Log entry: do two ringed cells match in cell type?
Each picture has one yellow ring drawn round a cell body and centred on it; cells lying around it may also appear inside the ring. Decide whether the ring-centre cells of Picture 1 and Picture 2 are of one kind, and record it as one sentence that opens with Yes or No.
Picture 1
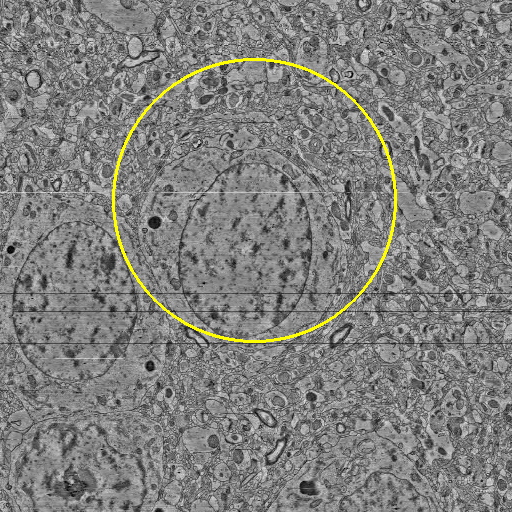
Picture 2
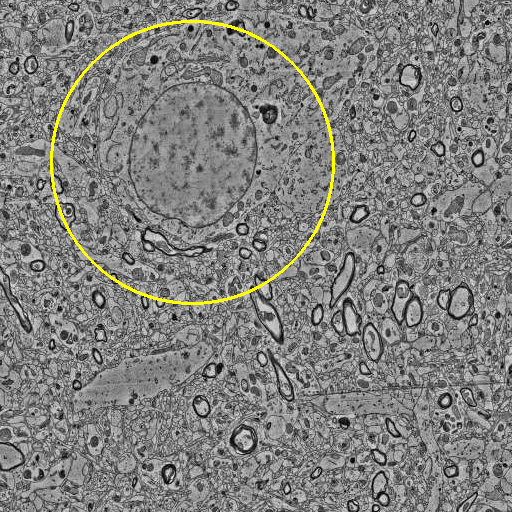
Yes, the cells at the ring centres of the two pictures belong to one kind.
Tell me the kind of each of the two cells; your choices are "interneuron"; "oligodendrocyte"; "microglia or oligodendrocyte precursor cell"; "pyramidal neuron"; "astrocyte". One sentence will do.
In each picture the ringed cell is a pyramidal neuron.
